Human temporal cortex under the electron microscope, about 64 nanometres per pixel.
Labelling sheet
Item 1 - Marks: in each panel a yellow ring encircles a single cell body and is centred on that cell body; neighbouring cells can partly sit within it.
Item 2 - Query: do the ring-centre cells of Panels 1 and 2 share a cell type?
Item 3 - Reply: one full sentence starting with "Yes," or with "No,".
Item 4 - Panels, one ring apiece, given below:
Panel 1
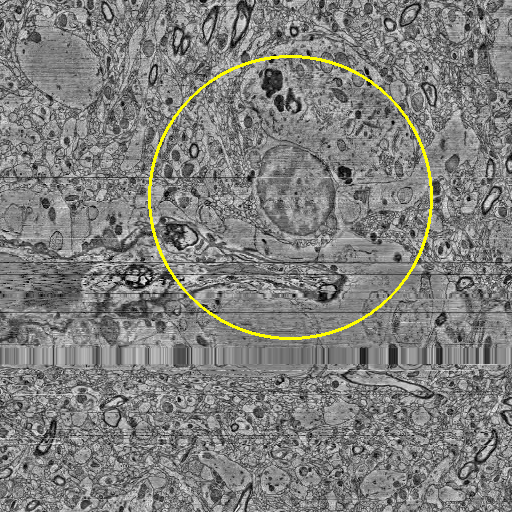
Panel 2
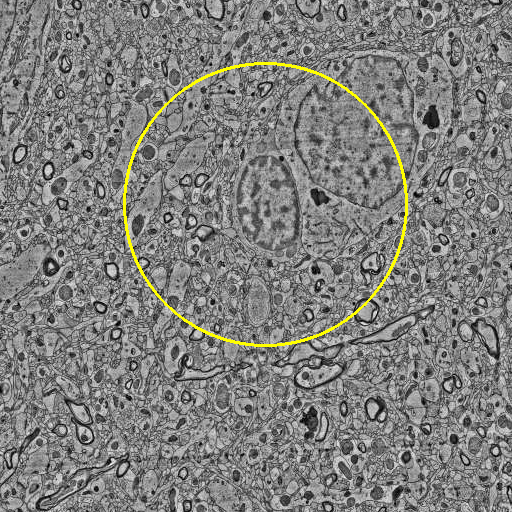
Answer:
Yes, Panel 1 and Panel 2 show one cell type at the centres of their rings.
